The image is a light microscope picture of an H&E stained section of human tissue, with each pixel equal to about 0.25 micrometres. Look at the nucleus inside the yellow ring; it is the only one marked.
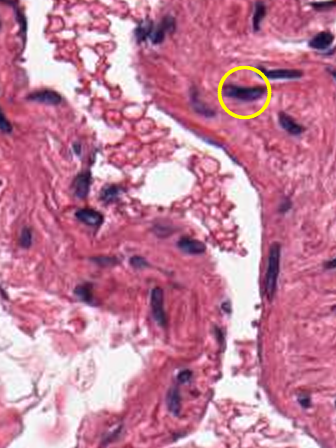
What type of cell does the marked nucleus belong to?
smooth muscle cell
